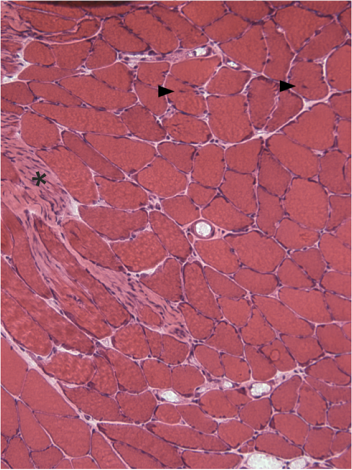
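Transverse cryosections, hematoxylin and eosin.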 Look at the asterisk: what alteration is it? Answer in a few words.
Fibrosis.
